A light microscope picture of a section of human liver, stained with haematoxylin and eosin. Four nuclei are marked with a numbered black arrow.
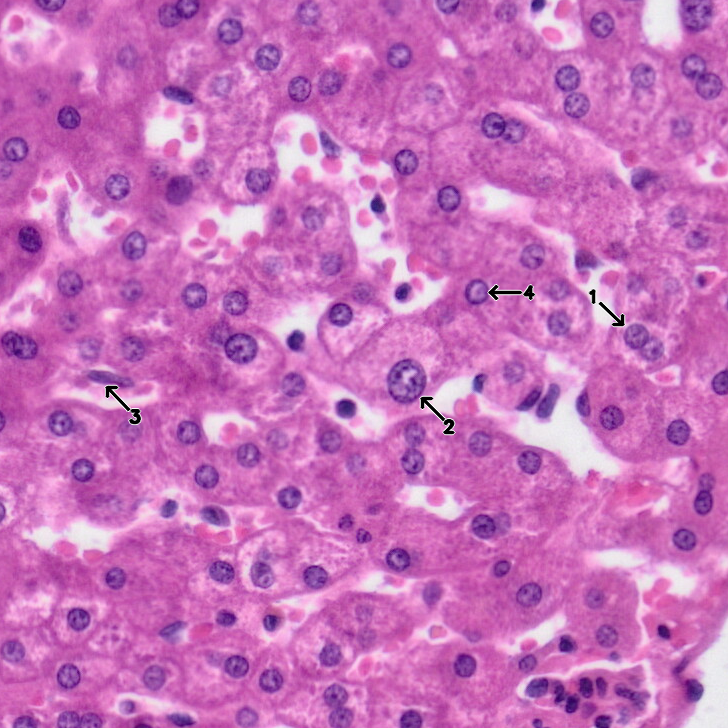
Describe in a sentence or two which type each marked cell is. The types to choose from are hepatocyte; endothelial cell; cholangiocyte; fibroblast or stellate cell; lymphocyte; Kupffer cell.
Cells 1, 2 and 4 are hepatocytes. Cell 3 is a Kupffer cell.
